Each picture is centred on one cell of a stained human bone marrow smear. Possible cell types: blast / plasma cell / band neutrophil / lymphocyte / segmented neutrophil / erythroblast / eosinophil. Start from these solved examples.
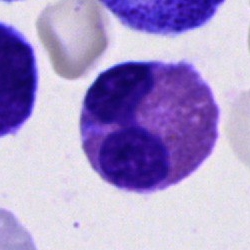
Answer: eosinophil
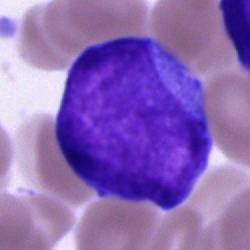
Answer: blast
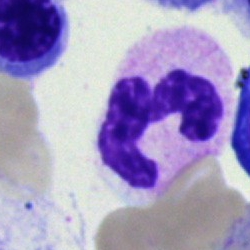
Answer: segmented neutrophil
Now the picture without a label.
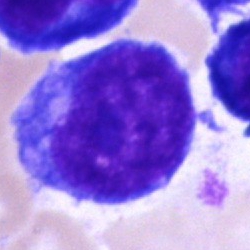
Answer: blast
